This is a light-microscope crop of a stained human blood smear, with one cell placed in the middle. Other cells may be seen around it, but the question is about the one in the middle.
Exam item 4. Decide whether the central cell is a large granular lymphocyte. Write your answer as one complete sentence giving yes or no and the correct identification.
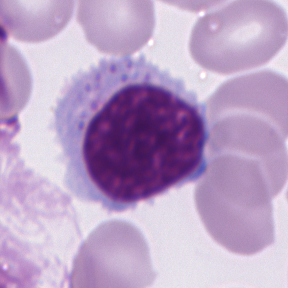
Yes, the cell placed centrally within the crop is a large granular lymphocyte.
